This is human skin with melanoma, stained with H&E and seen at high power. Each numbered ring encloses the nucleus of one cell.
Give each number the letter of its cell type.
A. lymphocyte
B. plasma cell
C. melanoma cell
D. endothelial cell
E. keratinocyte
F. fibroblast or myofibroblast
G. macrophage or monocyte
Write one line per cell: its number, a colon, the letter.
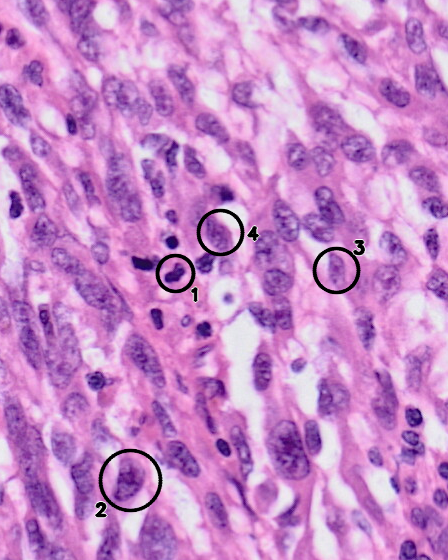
1: A
2: C
3: C
4: C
